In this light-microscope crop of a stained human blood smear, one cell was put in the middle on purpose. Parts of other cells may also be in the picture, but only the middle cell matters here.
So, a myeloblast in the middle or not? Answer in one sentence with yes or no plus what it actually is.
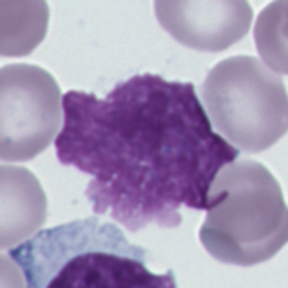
No, the cell at the centre is a smudge cell, which rules out a myeloblast.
